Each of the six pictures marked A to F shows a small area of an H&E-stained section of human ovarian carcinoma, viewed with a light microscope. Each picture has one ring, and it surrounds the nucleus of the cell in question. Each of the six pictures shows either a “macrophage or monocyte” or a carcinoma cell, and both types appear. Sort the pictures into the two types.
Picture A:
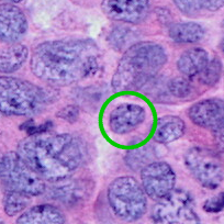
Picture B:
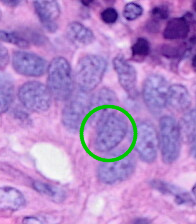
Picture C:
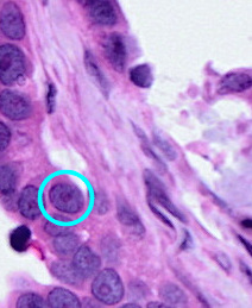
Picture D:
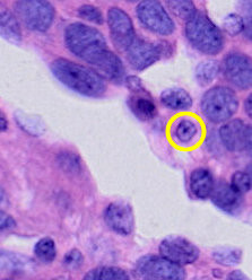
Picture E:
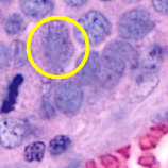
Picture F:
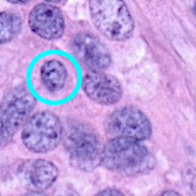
A: macrophage or monocyte
B: carcinoma cell
C: carcinoma cell
D: macrophage or monocyte
E: carcinoma cell
F: macrophage or monocyte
